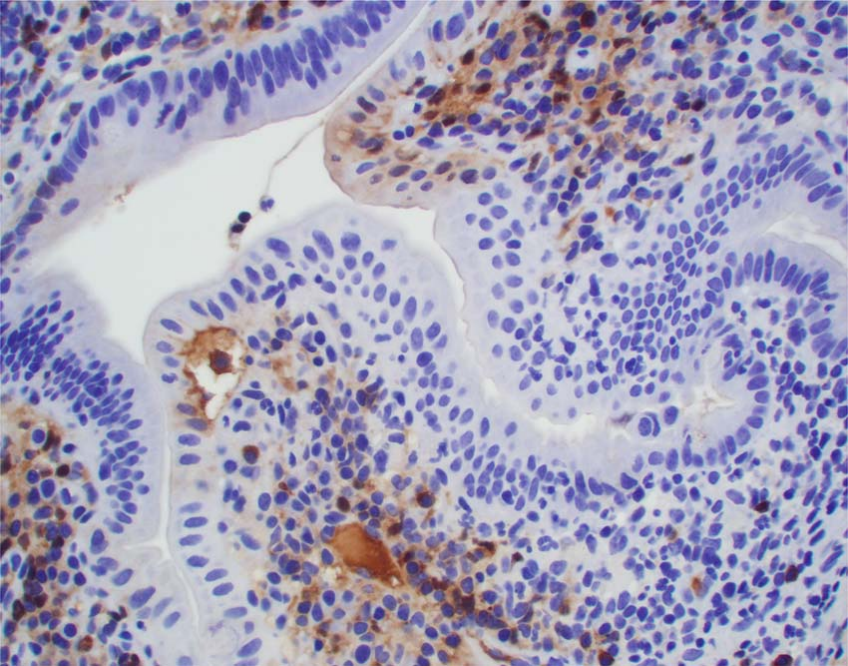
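Folded, tall columnar, multilayered-looking epithelium lining a clear lumen, with cellular connective tissue beneath it. The epithelium shows crowded, elongated blue nuclei stacked at several levels and a pale, unstained apical cytoplasm toward the lumen. In the underlying stroma, many scattered round cells with compact dark nuclei carry brown cytoplasmic stain, in places densely packed. They are mixed with unstained cells and with diffuse granular brown material between cells. Small brown foci also occur at the apical surface of the epithelium, and one brown-rimmed cavity containing cells lies within the epithelium. A few detached cells float in the lumen.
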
